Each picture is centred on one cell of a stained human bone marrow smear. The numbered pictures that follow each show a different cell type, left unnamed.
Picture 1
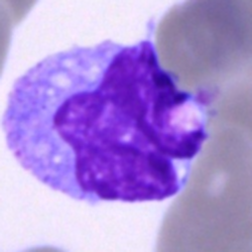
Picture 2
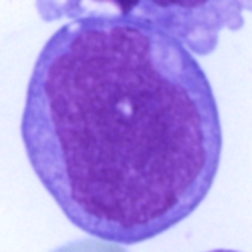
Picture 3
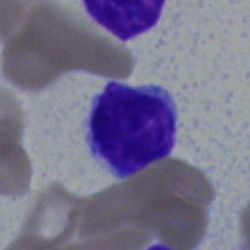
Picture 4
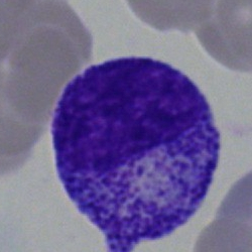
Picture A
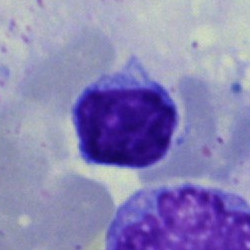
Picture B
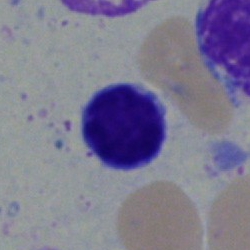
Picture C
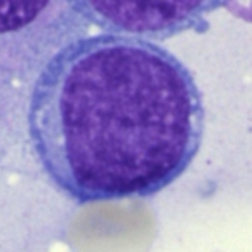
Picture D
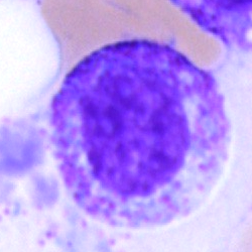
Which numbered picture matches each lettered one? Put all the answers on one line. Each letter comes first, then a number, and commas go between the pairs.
A 3, B 3, C 2, D 4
